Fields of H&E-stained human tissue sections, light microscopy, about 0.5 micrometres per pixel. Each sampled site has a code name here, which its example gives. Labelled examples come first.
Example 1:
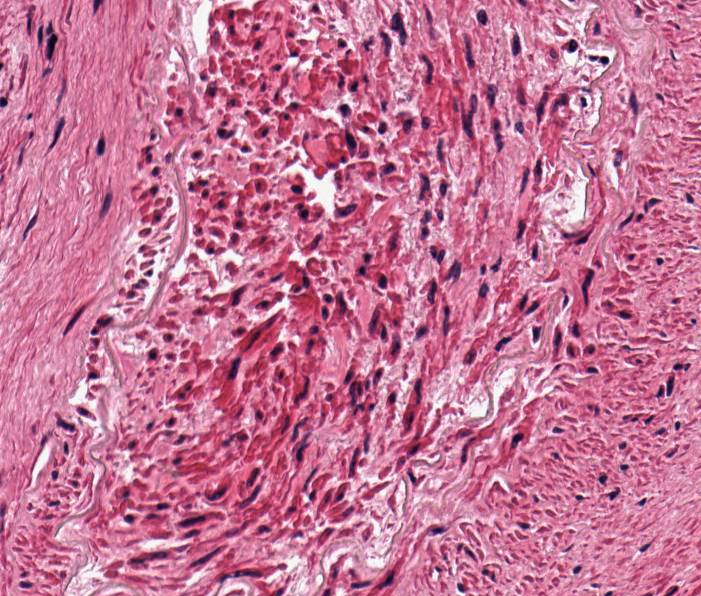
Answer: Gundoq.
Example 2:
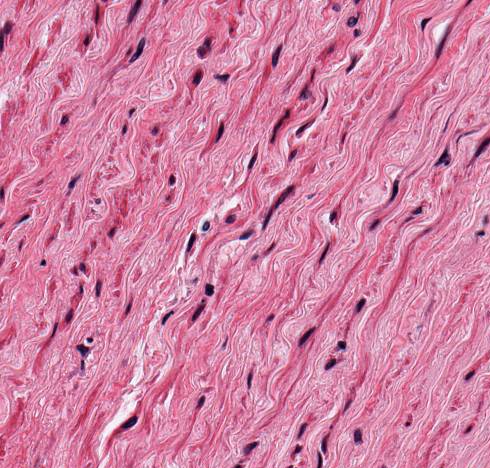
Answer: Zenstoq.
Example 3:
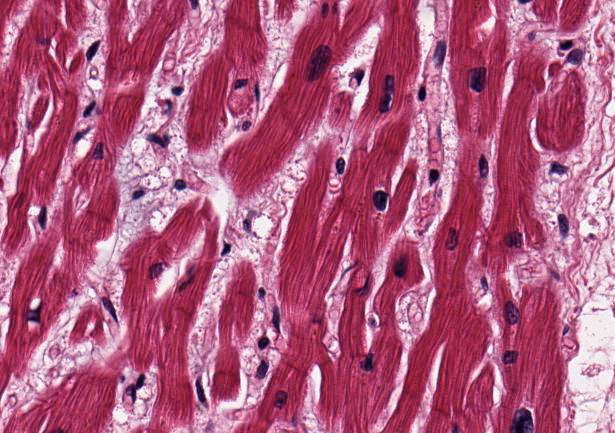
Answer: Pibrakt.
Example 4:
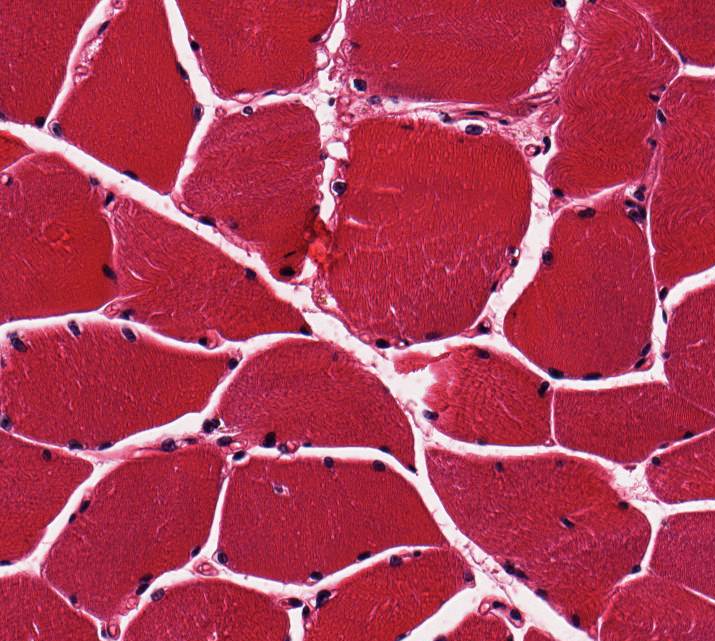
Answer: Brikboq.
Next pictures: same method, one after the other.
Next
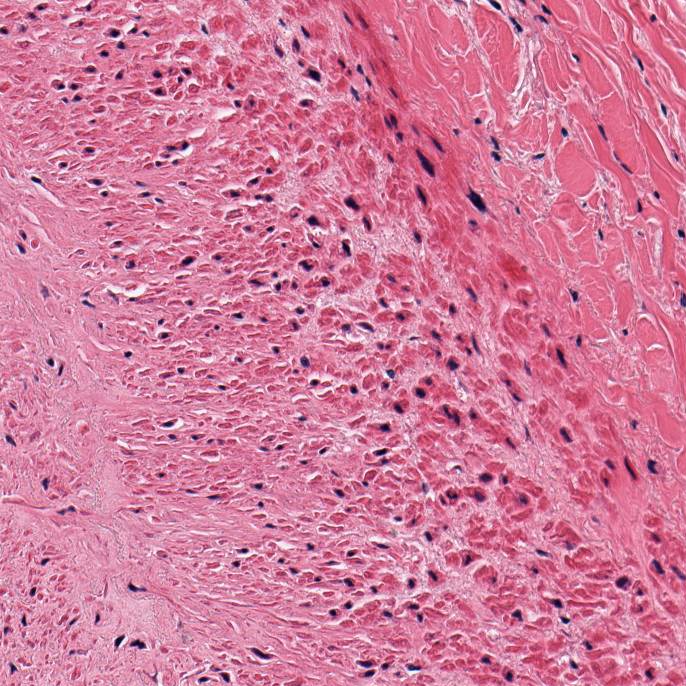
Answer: Gundoq.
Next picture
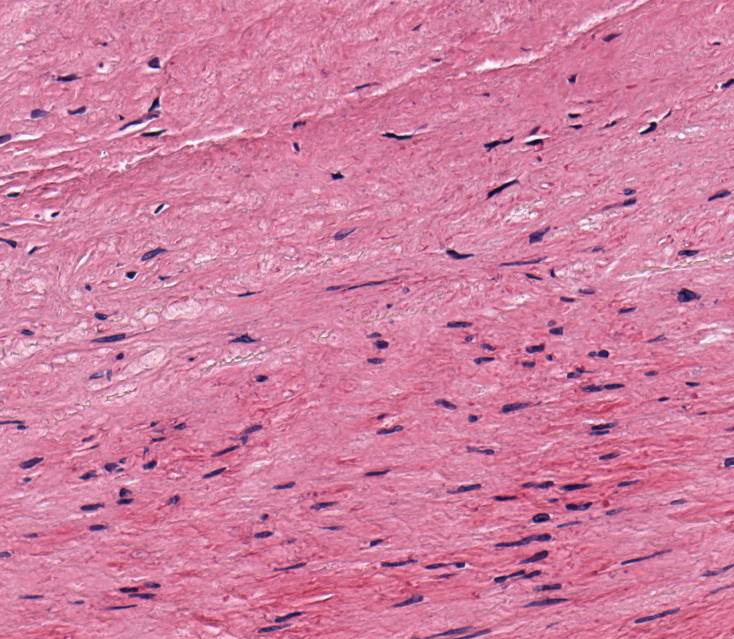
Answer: Gundoq.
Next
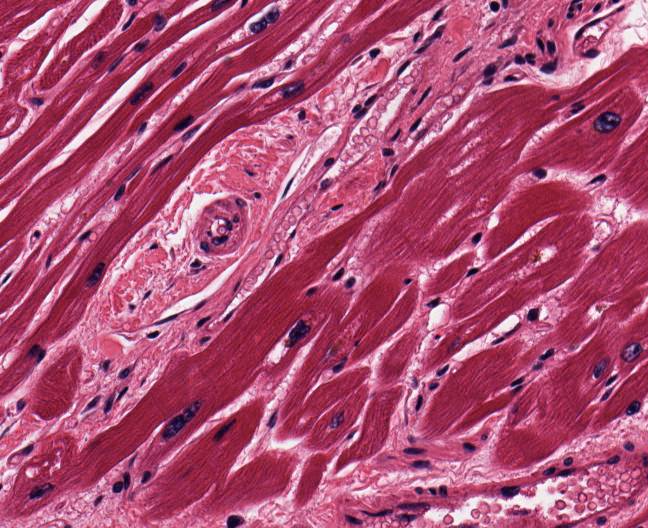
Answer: Pibrakt.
